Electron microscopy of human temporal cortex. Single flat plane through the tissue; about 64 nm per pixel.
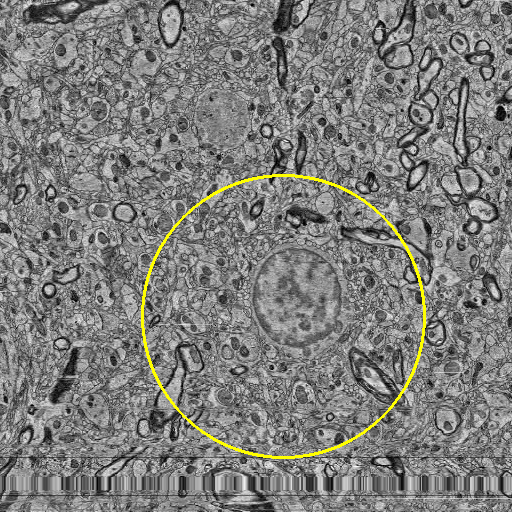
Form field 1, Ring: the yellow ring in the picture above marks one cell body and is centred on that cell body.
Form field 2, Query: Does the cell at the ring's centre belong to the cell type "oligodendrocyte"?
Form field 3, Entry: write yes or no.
yes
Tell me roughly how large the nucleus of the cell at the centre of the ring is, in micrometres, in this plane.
In this plane the ringed cell's nucleus is roughly 6 micrometres across.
